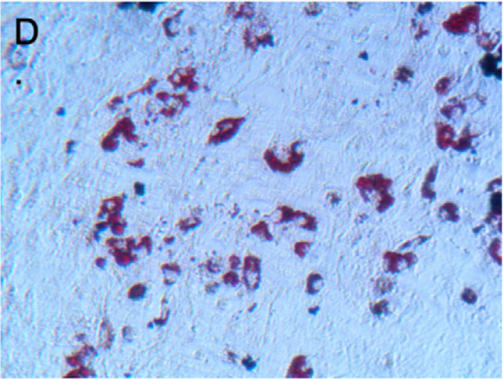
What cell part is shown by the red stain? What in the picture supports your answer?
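Fat droplets. Discrete dark red clumps are scattered over a pale blue cell layer. The red clumps are rounded and granular.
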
